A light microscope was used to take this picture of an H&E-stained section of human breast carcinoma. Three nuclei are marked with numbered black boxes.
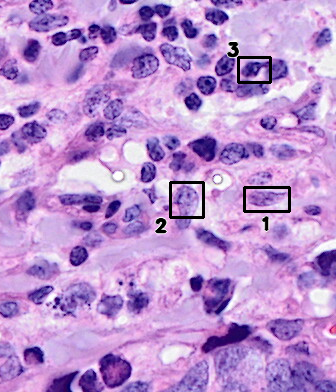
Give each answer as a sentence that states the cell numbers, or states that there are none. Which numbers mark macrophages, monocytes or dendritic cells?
The cells that have been numbered 1 and 2 are macrophages, monocytes or dendritic cells.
